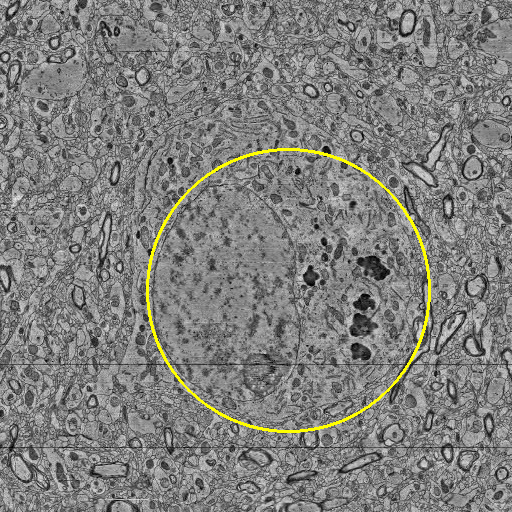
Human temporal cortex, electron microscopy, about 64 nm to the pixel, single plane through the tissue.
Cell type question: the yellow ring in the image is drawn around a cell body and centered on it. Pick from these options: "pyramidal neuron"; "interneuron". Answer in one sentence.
The ringed cell at the center is an interneuron.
